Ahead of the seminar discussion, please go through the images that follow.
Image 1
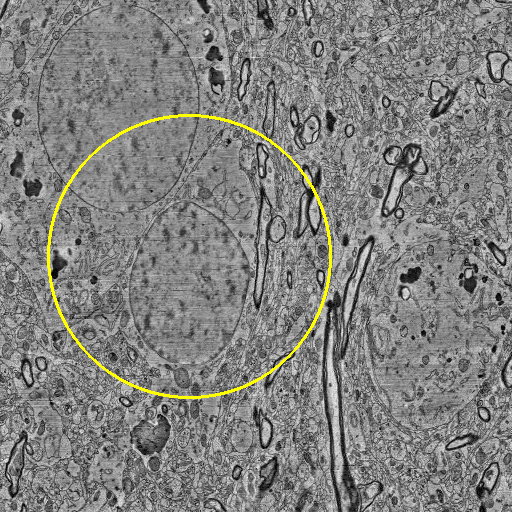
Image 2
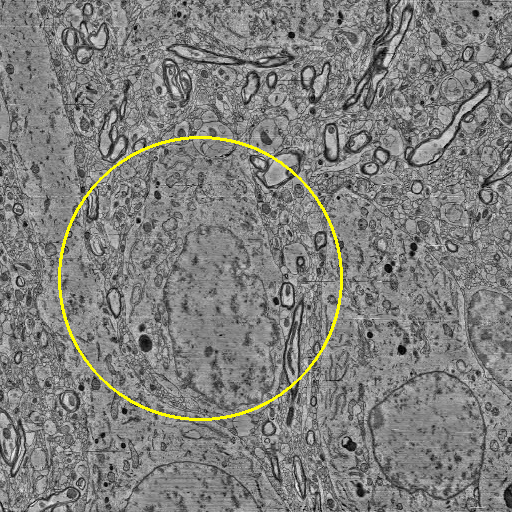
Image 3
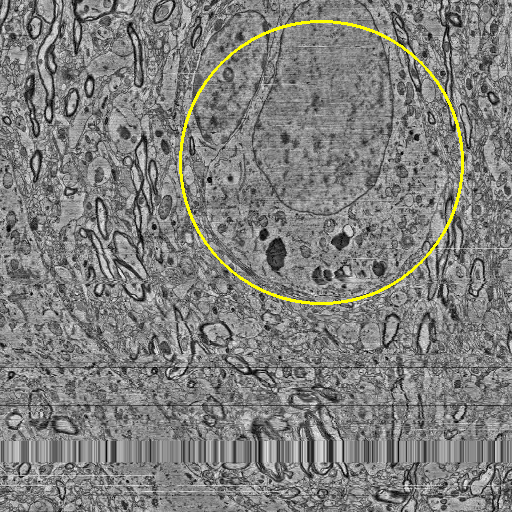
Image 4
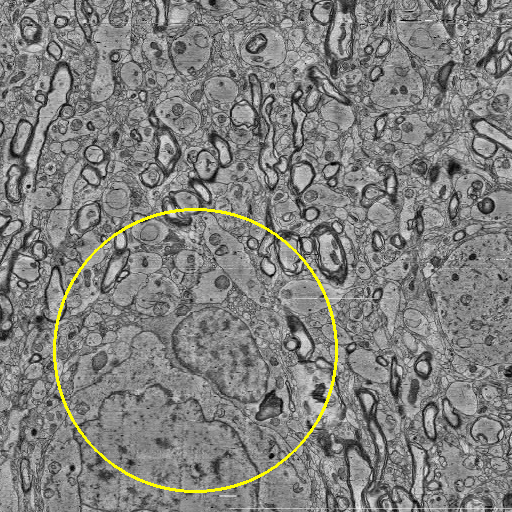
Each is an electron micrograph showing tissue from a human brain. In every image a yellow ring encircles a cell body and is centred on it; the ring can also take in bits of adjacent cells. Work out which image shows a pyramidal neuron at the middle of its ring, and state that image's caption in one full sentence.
In Image 3, the ring's centre holds the cell you are looking for.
